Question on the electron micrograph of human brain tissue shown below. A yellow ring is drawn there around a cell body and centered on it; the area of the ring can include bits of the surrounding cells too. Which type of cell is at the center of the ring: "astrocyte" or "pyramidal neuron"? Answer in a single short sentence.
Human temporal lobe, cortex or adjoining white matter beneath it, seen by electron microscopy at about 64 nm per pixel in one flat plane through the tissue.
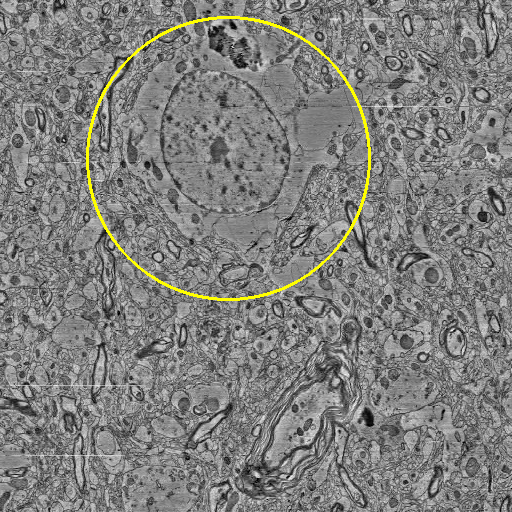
The ring is centered on an astrocyte.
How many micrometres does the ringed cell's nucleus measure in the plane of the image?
Roughly 10 by 8 micrometres is the size of the nucleus in this plane.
